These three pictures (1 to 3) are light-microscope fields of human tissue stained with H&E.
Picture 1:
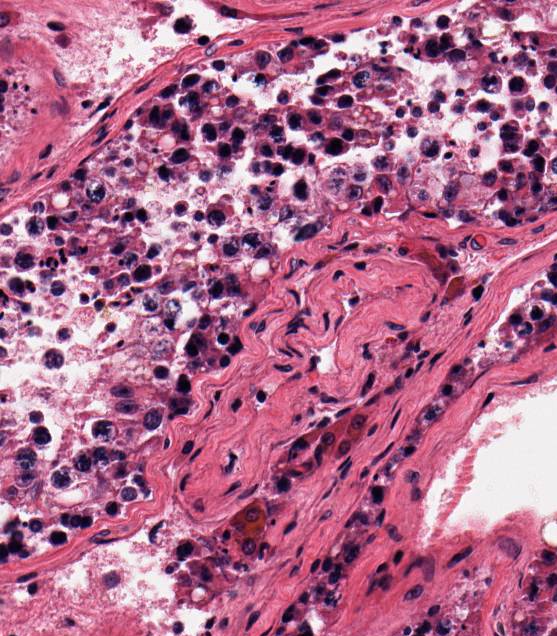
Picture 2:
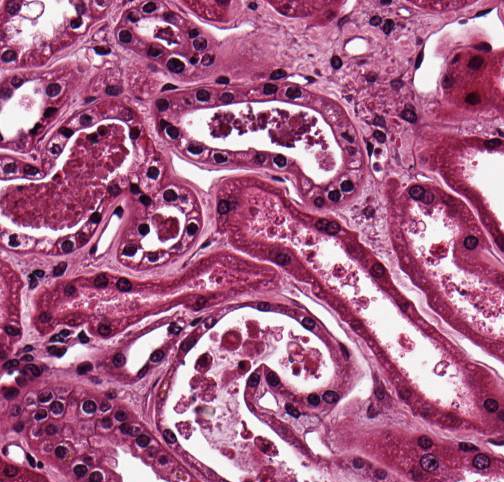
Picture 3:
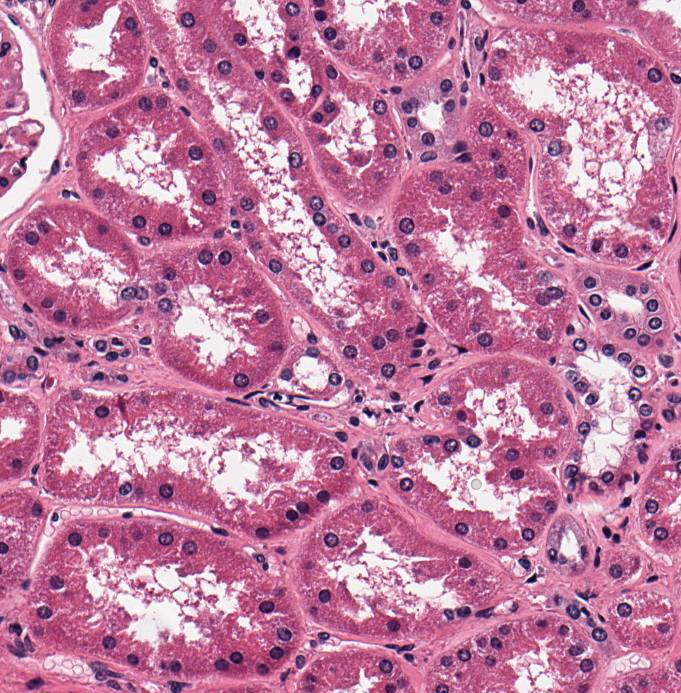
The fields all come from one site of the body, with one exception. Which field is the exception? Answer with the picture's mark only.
1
